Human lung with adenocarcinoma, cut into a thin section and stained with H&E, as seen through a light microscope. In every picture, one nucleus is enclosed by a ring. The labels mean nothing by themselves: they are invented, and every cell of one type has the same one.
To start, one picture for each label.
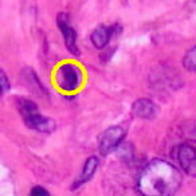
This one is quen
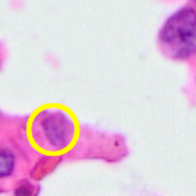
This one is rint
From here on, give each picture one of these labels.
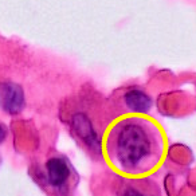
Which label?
rint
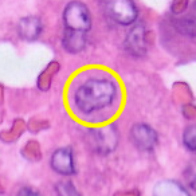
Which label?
rint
